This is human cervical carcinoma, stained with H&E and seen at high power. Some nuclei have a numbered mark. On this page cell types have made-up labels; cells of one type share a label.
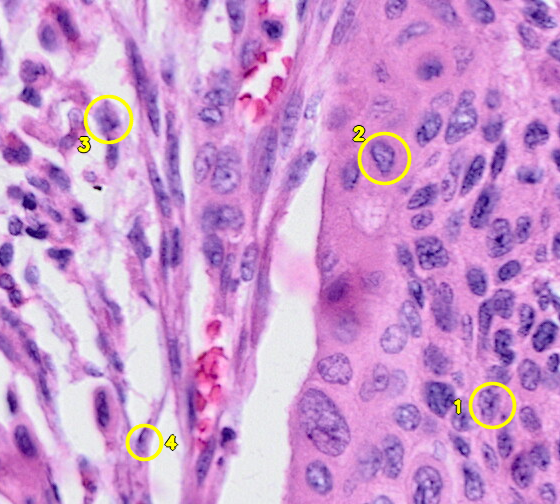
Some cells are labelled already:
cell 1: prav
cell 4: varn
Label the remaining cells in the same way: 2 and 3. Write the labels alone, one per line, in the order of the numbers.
prav
varn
